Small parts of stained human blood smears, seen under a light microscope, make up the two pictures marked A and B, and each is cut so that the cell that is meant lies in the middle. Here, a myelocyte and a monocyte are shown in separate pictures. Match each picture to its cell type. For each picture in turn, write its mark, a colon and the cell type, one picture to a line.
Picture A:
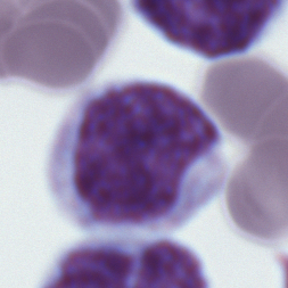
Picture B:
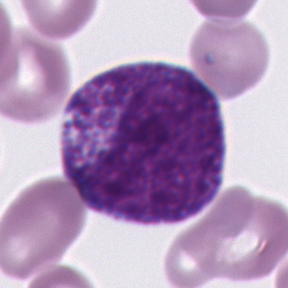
A: monocyte
B: myelocyte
